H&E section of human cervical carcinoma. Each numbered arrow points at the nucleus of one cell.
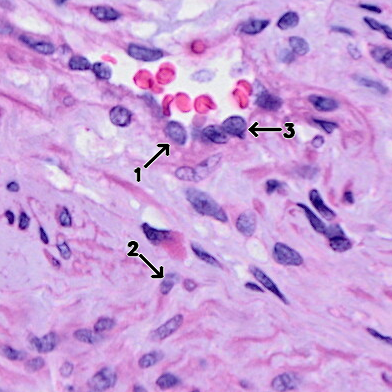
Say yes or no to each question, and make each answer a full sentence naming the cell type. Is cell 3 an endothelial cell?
Yes, cell 3 among the marked cells is an endothelial cell.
